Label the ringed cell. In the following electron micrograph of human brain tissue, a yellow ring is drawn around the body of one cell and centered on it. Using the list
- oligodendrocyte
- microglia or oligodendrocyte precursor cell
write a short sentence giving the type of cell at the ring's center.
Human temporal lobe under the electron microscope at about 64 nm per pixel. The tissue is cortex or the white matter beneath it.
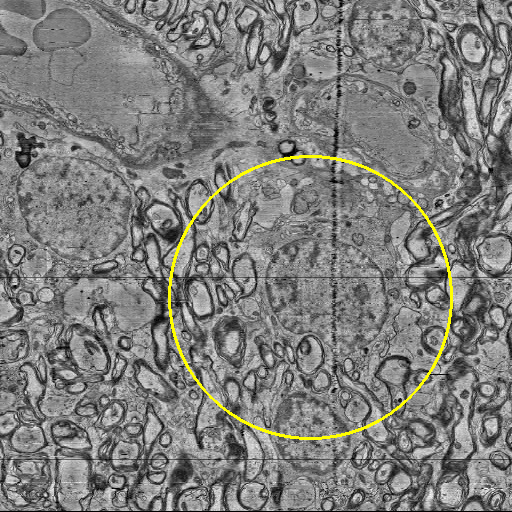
The cell body at the ring's center is that of an oligodendrocyte.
